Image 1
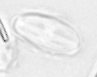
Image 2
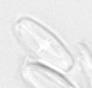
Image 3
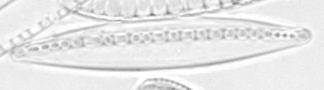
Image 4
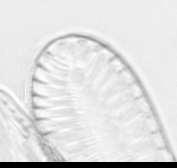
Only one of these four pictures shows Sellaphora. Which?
Picture 1.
